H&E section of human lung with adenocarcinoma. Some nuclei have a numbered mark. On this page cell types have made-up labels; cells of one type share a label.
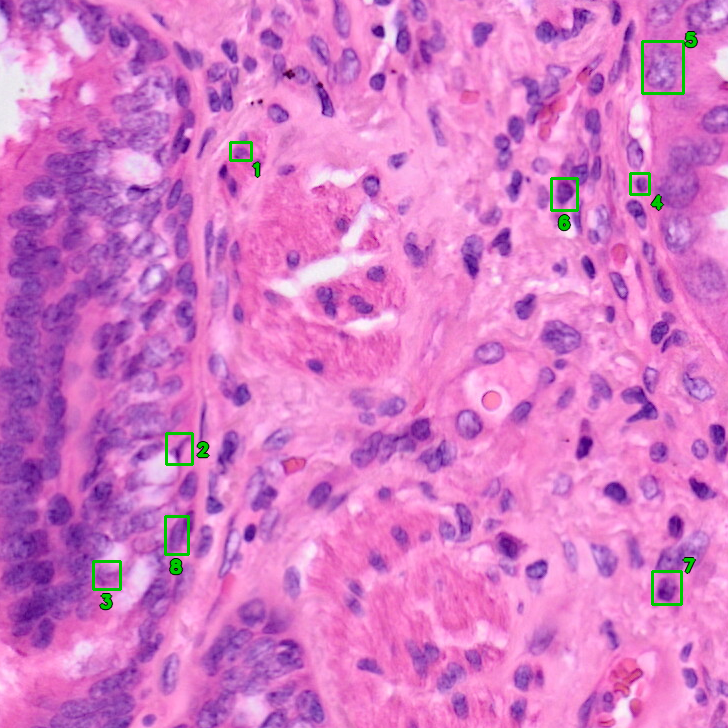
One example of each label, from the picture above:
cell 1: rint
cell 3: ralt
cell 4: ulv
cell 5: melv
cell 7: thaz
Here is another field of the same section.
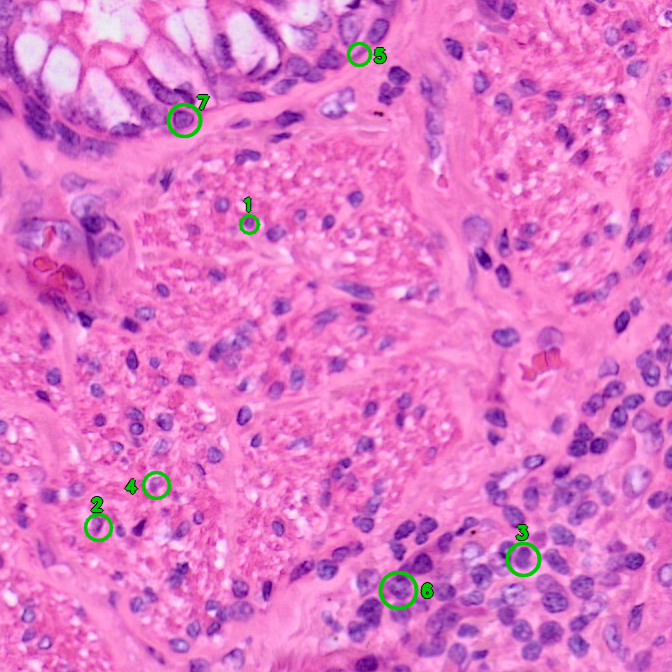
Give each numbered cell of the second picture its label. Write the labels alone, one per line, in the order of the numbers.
rint
rint
ulv
rint
ralt
thaz
ralt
